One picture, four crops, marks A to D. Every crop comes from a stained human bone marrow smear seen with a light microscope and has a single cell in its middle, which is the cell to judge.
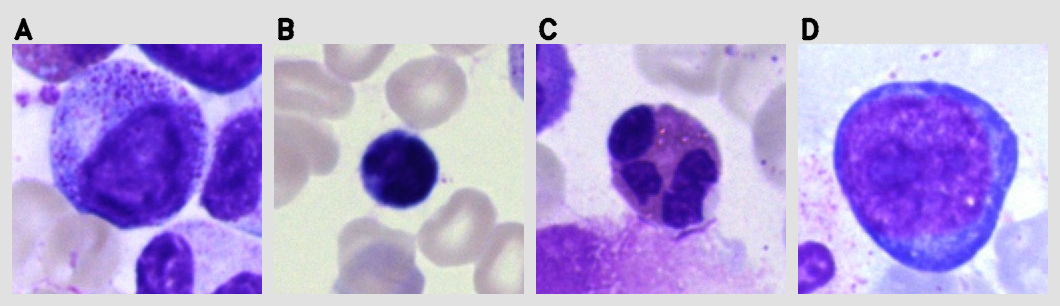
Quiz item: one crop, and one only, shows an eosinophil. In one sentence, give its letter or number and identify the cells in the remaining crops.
In the series, crop C depicts an eosinophil, while crop A is a promyelocyte, crop B is a lymphocyte and crop D is a proerythroblast.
